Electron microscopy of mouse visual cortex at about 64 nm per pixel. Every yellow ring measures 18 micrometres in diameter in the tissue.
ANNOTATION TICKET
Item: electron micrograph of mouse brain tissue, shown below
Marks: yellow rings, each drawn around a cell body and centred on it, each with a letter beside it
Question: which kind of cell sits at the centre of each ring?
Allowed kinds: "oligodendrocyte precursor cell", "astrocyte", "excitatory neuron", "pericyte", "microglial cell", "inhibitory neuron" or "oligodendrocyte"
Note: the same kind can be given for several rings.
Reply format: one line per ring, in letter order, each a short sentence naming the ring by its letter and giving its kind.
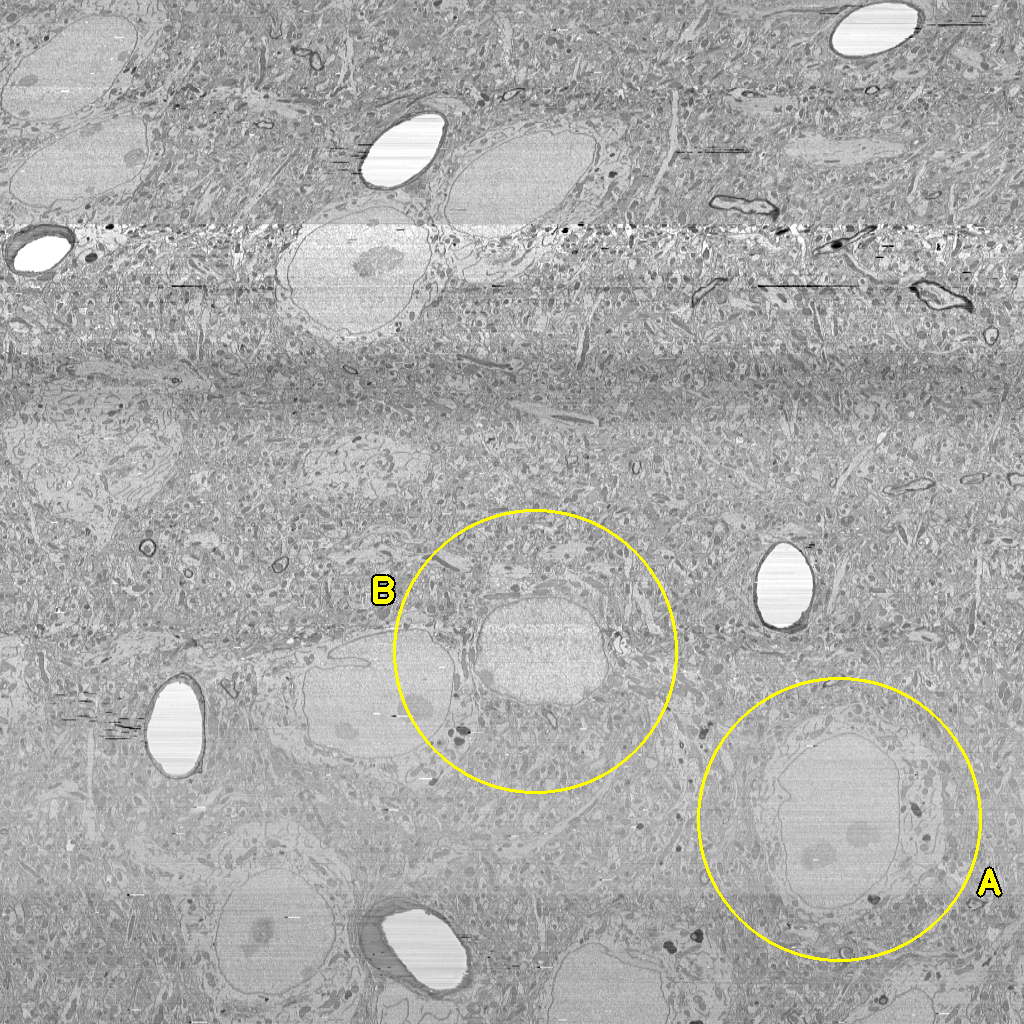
The cell at the centre of ring A is an excitatory neuron.
The cell at the centre of ring B is an astrocyte.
